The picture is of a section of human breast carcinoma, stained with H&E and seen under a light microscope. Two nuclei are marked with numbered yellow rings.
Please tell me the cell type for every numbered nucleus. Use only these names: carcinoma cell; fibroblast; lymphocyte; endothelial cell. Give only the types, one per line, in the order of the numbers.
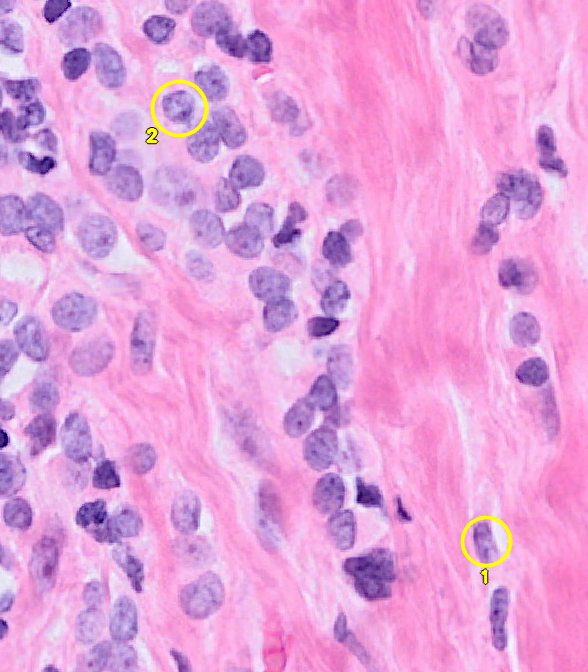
fibroblast
carcinoma cell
